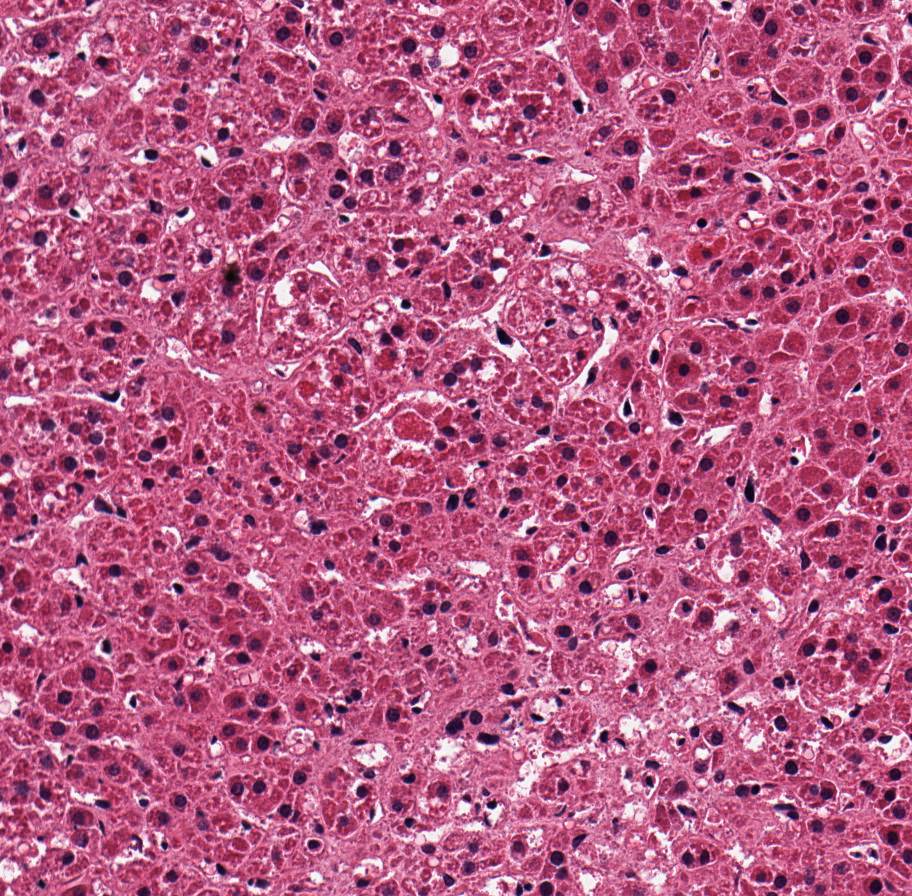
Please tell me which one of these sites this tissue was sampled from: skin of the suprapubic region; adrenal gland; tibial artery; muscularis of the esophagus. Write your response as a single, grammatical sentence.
The tissue studied in this section came from the adrenal gland.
